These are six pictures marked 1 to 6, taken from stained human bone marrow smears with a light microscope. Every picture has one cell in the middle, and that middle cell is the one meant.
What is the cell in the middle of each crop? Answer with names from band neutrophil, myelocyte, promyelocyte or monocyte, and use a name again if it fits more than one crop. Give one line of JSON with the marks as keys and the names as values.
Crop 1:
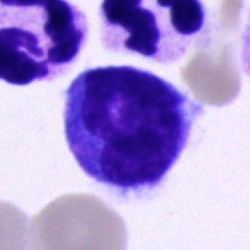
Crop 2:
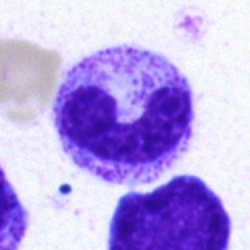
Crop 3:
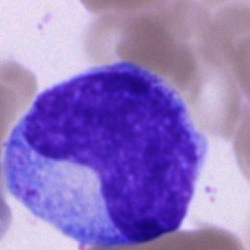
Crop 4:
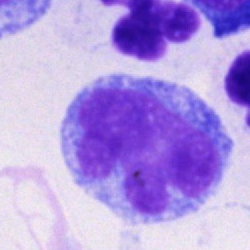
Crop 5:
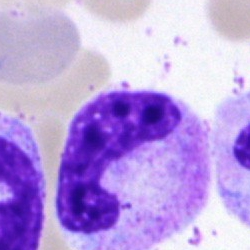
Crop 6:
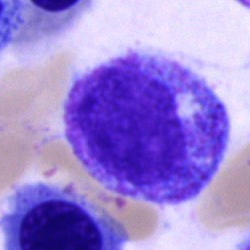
{"1": "monocyte", "2": "band neutrophil", "3": "promyelocyte", "4": "monocyte", "5": "band neutrophil", "6": "promyelocyte"}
